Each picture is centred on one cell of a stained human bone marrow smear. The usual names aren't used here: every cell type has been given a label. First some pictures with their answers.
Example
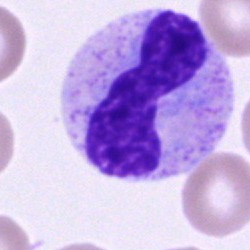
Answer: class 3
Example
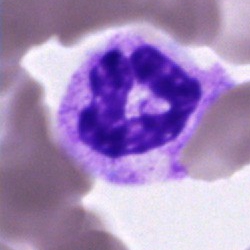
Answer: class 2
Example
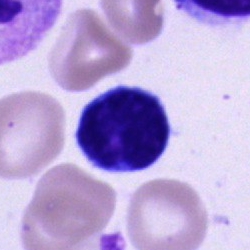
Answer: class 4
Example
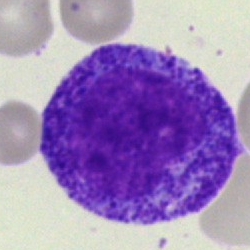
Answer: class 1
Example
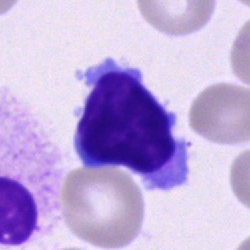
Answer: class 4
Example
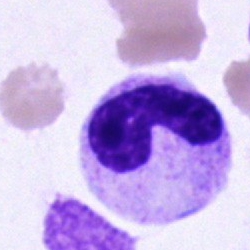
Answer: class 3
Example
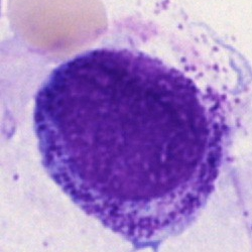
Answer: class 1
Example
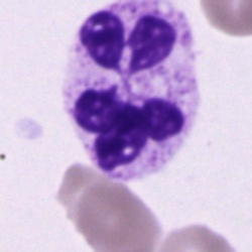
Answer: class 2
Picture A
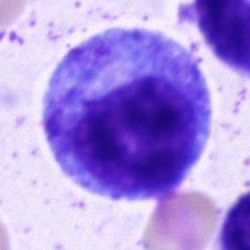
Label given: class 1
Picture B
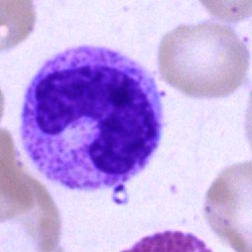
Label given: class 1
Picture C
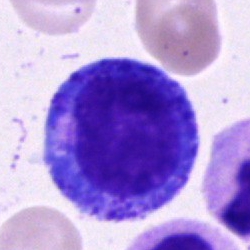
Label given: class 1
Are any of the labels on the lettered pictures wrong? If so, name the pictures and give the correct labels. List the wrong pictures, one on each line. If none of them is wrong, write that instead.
B: change class 1 to class 3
